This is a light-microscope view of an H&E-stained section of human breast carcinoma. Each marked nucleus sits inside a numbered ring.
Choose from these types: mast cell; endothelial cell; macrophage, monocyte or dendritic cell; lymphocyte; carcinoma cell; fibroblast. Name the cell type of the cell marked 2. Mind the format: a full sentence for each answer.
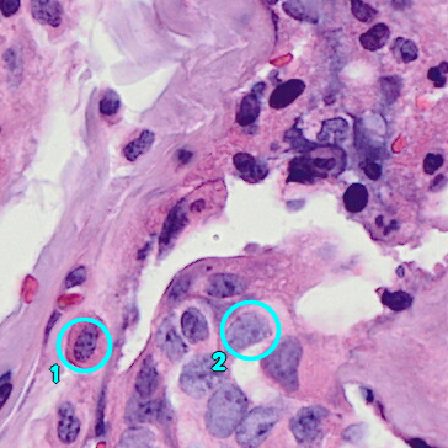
The identity of cell 2 is that of a carcinoma cell.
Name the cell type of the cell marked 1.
At number 1, the marked cell is a mast cell.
